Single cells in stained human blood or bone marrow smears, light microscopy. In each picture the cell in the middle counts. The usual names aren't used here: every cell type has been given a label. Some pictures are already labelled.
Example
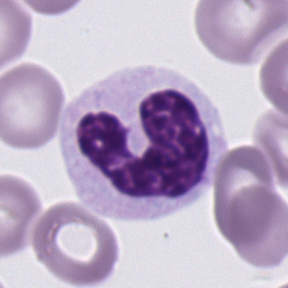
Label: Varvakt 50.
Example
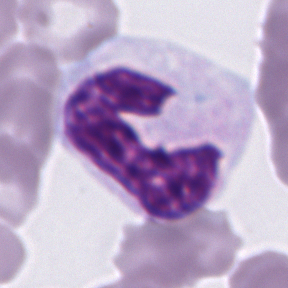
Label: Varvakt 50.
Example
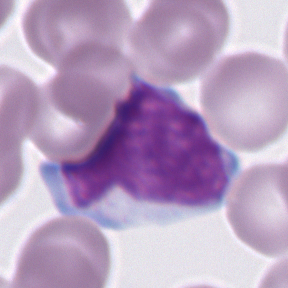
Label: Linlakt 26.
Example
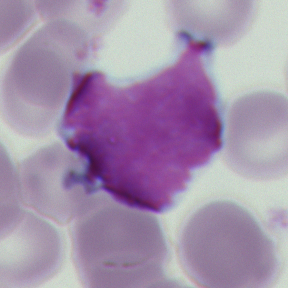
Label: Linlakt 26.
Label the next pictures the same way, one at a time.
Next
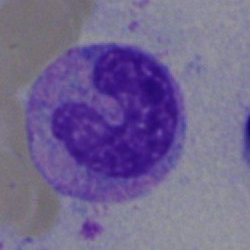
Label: Varvakt 50.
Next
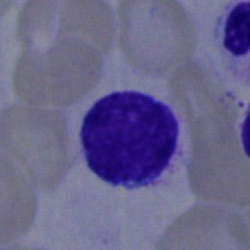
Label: Linlakt 26.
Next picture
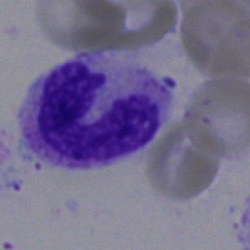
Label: Varvakt 50.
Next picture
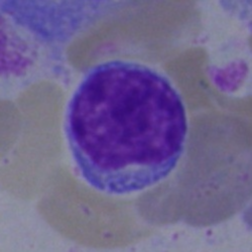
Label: Linlakt 26.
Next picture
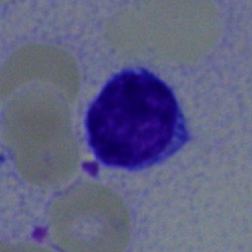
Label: Linlakt 26.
